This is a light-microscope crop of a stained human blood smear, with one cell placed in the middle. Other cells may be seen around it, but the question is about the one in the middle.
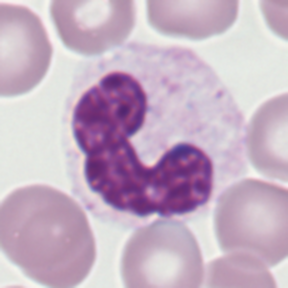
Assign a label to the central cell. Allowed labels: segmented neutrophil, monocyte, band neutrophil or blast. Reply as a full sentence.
The cell of interest, in the center, is a band neutrophil.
